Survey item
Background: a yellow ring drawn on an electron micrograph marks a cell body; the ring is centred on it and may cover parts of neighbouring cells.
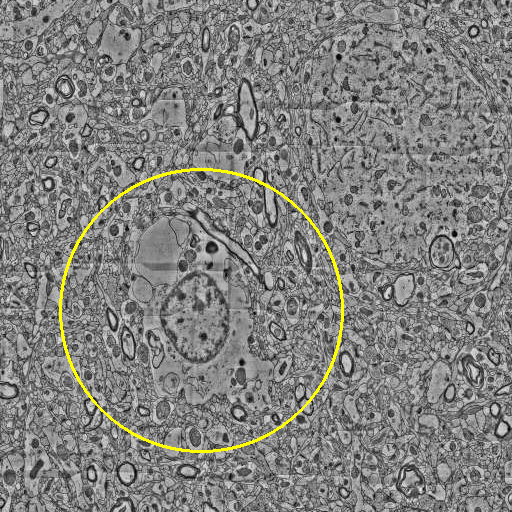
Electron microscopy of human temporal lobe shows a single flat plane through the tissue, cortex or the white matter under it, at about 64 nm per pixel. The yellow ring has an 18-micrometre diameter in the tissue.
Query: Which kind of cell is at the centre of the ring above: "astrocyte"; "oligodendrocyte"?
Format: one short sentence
The cell in the middle of the ring is an astrocyte.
